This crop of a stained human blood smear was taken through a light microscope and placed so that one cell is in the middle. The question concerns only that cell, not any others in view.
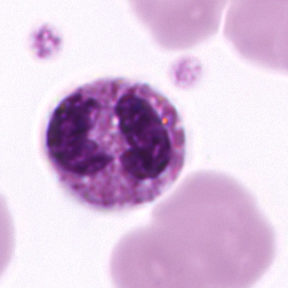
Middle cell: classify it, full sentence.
Framed in the middle of the crop is an eosinophil.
